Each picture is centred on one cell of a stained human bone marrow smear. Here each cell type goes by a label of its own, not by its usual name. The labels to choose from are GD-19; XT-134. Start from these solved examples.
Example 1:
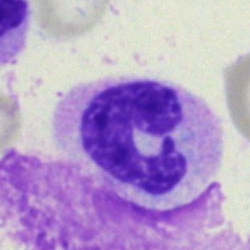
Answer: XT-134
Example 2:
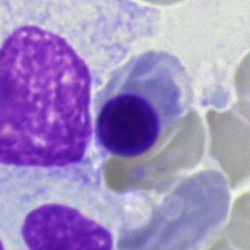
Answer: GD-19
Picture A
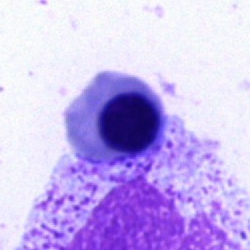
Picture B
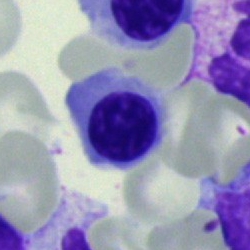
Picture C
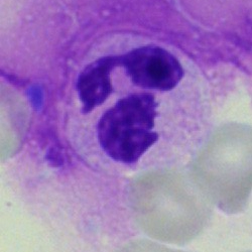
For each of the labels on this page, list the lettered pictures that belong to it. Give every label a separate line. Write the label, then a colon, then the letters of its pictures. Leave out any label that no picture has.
GD-19: A, B
XT-134: C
